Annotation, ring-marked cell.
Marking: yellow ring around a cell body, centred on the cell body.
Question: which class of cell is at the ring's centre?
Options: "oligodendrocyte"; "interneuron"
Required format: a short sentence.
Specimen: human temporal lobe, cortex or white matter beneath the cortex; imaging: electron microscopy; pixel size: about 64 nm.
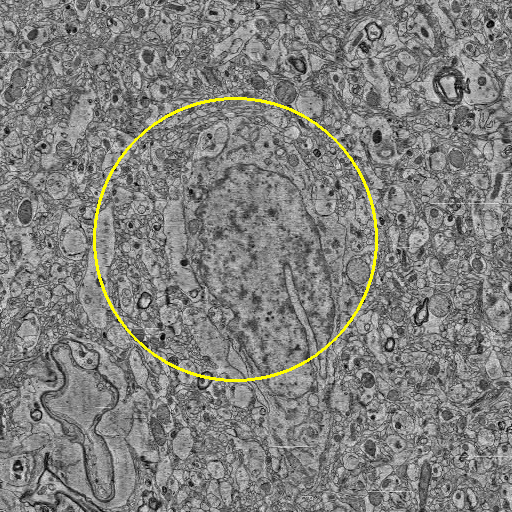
At the ring's centre is an interneuron.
